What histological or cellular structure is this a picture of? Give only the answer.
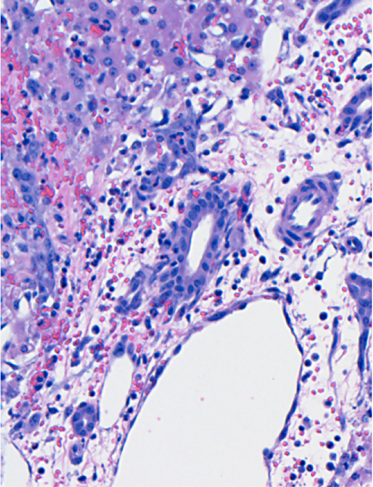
Bile ducts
